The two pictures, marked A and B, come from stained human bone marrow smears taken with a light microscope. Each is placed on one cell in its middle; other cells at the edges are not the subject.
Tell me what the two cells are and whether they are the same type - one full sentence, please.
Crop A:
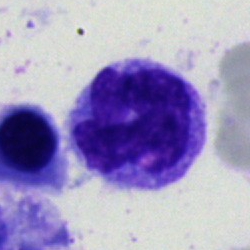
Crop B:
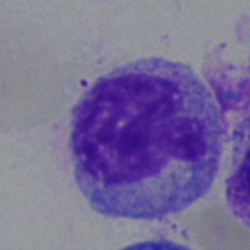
Yes, monocytes are centred in both crops.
